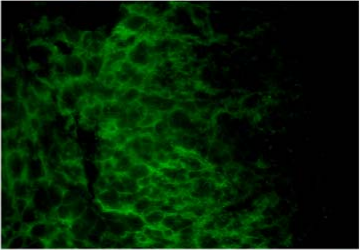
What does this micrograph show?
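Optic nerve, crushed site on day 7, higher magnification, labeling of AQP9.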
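The strands are thin, wavy and interlacing, and they enclose small, roughly polygonal dark spaces, giving a honeycomb-like network. The network is densest in the left and central parts of the field and fades toward the right edge. A thin dark vertical cleft crosses the left-centre of the field. No separate cell bodies stand out in the green channel; the labelled structures are mostly slender and continuous.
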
